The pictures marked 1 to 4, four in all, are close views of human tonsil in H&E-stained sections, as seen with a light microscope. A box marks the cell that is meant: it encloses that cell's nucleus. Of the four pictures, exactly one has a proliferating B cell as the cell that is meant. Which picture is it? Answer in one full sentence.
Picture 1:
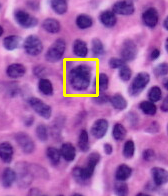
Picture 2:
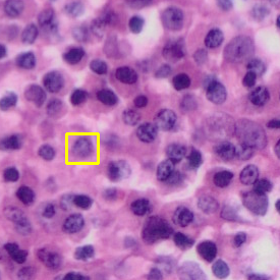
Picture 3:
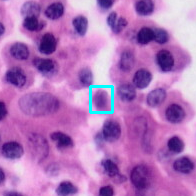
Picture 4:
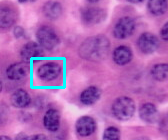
Picture 1 is the one that shows the proliferating B cell.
